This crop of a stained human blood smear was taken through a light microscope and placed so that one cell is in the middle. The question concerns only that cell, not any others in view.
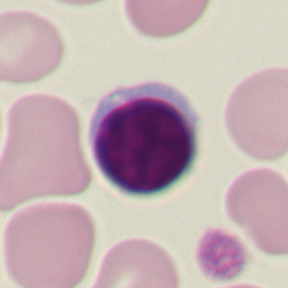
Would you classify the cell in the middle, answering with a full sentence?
The cell found in the middle of this crop is a typical lymphocyte.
